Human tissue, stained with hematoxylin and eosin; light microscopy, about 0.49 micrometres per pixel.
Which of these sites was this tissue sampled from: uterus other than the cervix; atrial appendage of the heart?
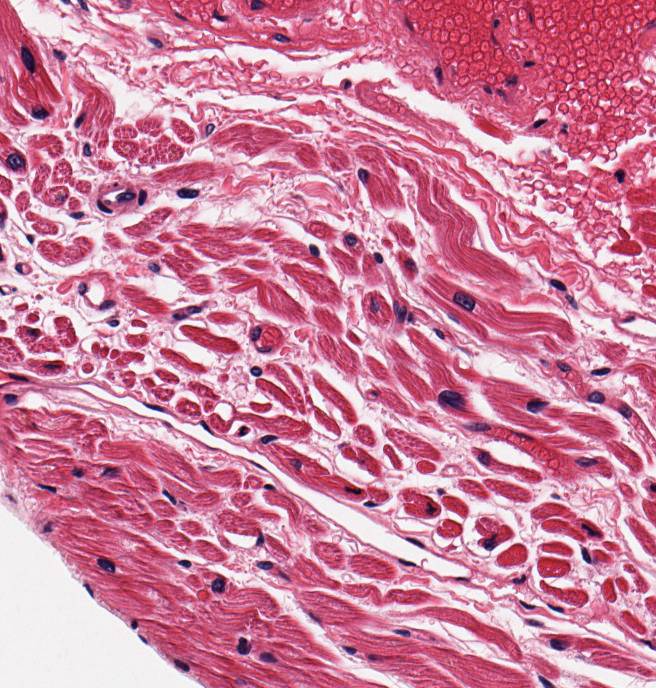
atrial appendage of the heart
